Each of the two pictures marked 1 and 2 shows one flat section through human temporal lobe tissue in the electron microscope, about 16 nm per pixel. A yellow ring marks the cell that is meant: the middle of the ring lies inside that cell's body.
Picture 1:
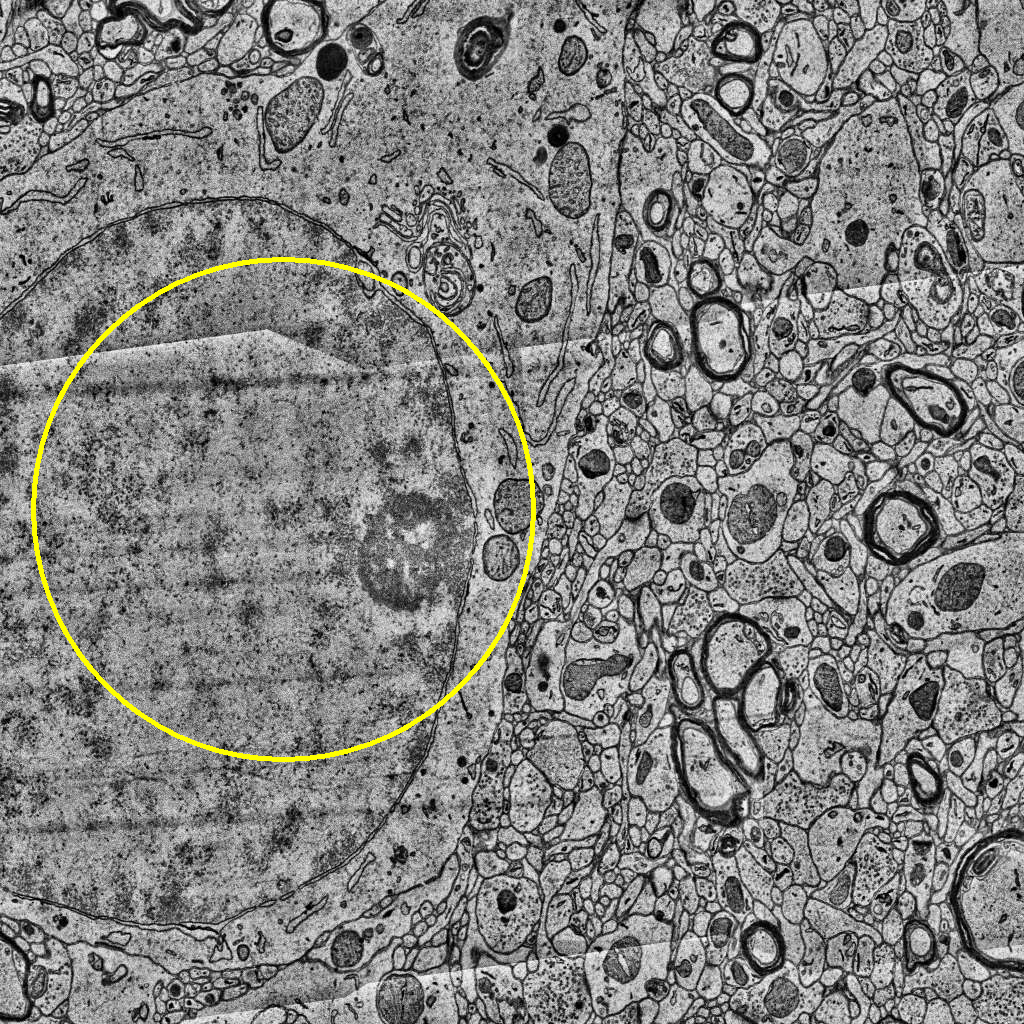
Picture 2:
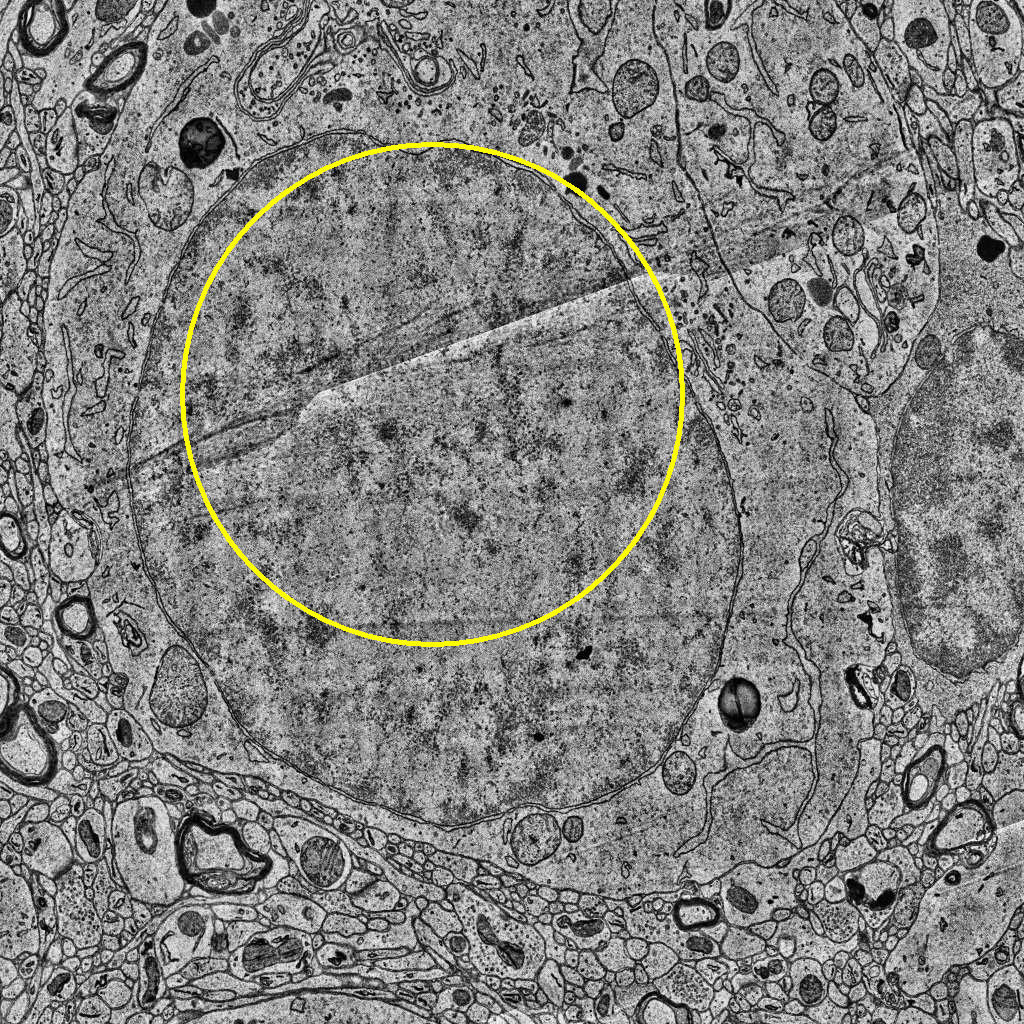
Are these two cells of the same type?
Yes, both are interneurons.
